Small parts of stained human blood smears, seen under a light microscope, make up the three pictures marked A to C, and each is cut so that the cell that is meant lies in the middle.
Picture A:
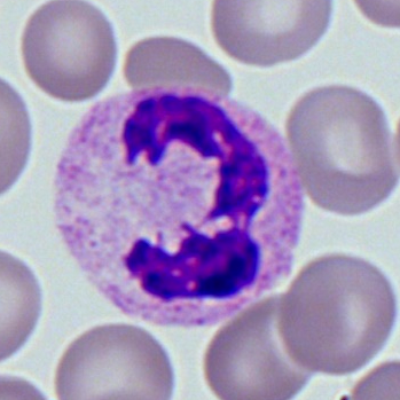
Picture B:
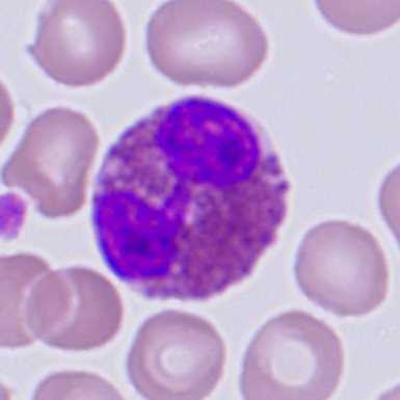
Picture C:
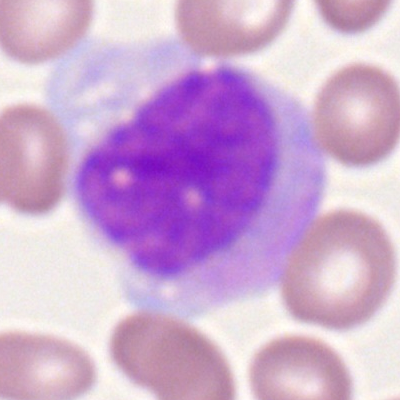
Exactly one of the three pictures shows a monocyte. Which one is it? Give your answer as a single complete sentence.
The monocyte is the one in picture C.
